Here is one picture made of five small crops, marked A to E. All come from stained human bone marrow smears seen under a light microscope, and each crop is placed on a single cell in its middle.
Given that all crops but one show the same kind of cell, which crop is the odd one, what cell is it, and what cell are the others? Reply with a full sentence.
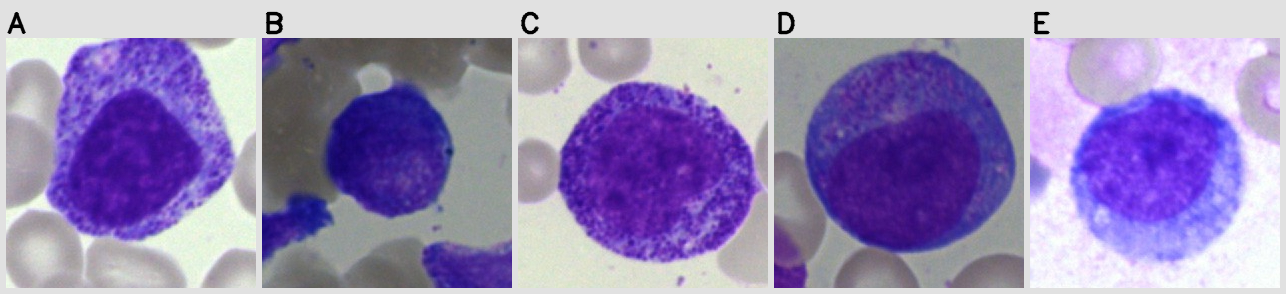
The exception in this group is crop B, a blast, and the others are all promyelocytes.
